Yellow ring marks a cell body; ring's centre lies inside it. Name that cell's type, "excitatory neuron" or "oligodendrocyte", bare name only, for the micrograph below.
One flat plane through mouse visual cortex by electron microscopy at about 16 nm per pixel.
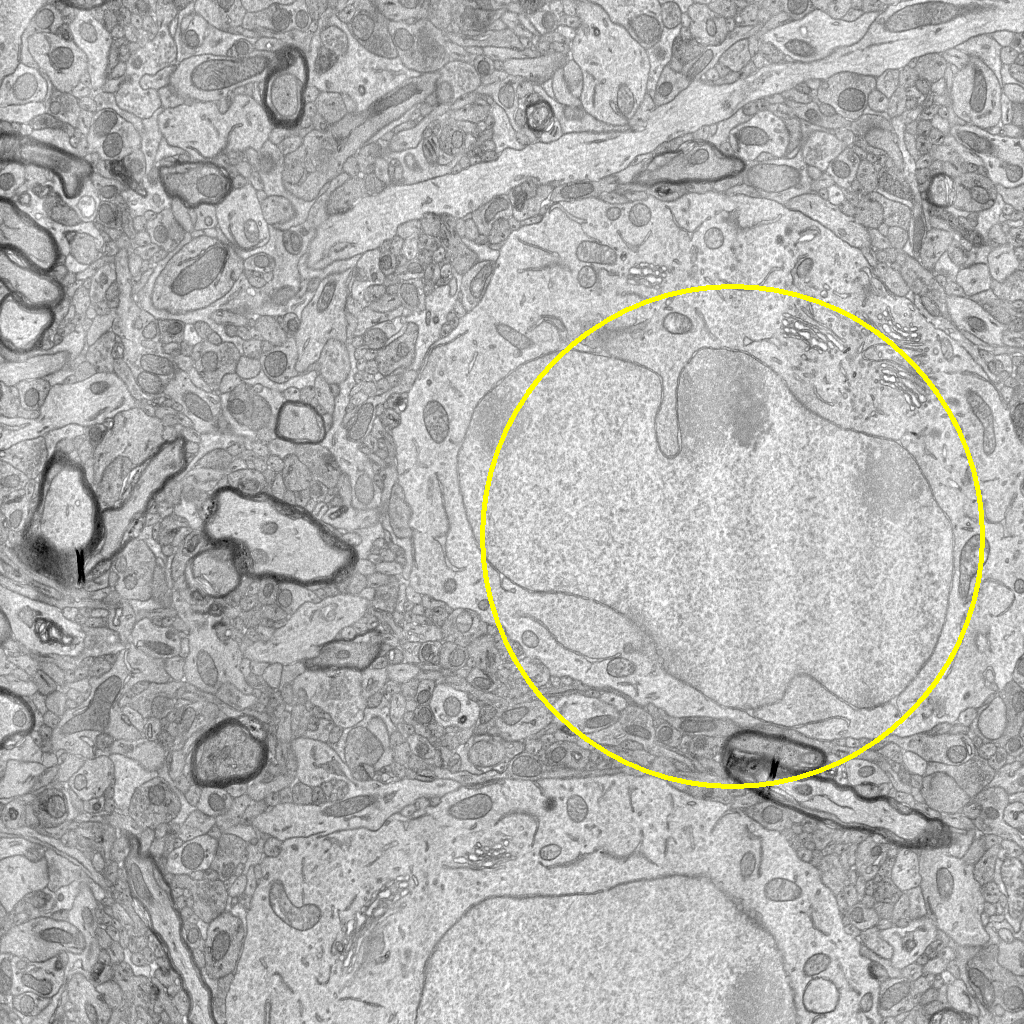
excitatory neuron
